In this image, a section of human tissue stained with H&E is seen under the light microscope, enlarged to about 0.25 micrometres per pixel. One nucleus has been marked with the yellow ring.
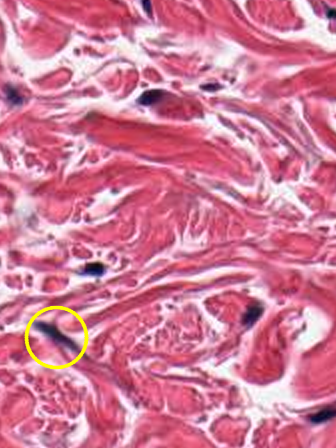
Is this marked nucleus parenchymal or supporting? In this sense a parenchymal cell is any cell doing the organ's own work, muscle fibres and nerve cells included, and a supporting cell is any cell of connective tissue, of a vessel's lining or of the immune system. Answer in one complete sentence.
The marked nucleus is attributed to a supporting cell.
